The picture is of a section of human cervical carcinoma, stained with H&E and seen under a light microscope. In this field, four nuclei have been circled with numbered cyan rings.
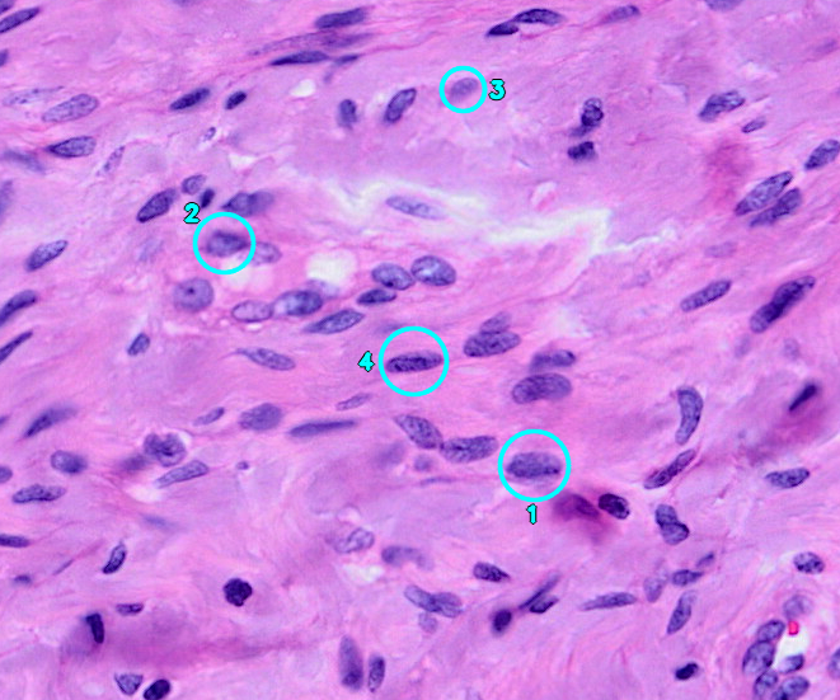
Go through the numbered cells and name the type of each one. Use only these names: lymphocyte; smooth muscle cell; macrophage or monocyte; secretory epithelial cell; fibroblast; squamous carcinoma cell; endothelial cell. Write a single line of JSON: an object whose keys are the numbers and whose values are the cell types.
{"1": "fibroblast", "2": "endothelial cell", "3": "fibroblast", "4": "fibroblast"}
